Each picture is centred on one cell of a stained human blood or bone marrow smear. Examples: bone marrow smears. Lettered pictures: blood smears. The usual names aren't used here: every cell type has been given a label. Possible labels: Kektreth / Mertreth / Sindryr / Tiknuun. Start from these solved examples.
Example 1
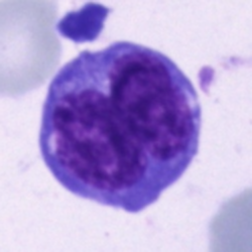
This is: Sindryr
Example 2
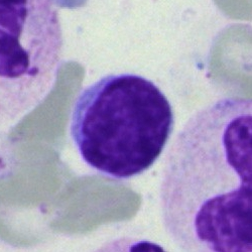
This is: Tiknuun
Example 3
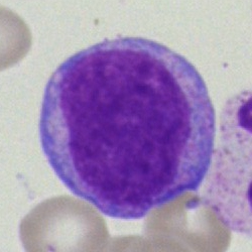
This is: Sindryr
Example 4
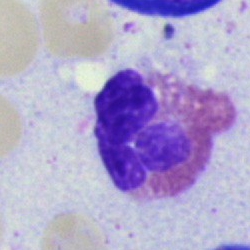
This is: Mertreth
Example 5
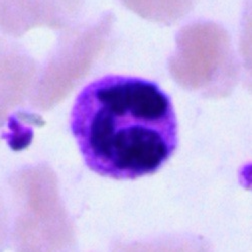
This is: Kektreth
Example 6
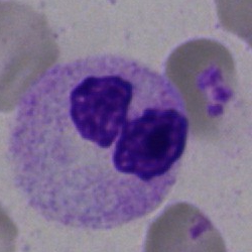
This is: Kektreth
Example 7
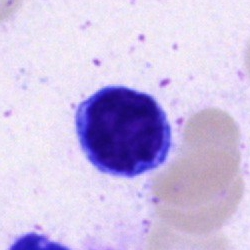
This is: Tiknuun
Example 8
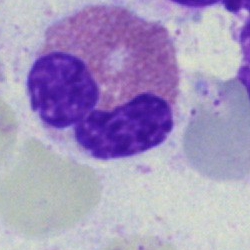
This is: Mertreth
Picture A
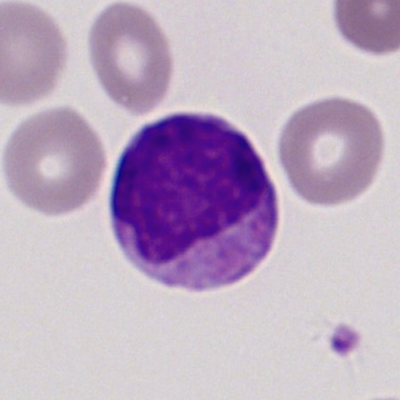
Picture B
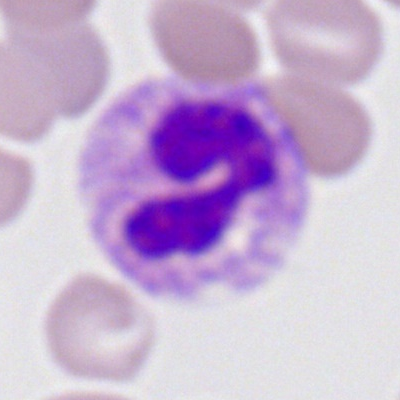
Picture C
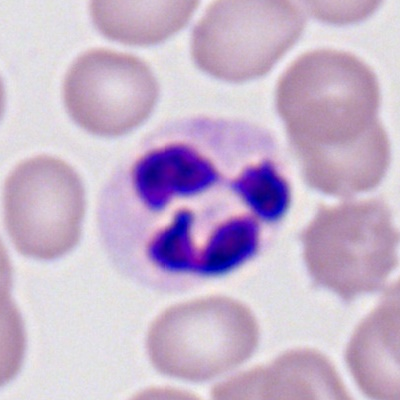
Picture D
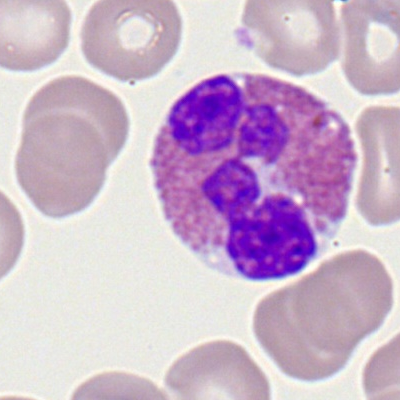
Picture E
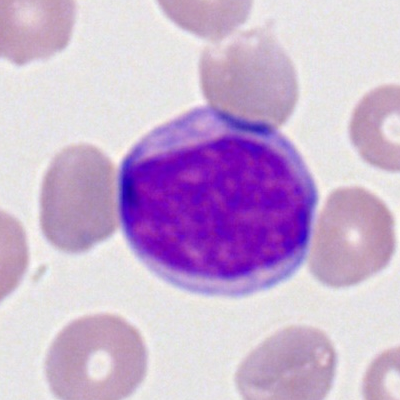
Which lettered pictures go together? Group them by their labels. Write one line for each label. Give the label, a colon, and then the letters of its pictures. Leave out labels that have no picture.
Kektreth: B, C
Mertreth: D
Sindryr: A, E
